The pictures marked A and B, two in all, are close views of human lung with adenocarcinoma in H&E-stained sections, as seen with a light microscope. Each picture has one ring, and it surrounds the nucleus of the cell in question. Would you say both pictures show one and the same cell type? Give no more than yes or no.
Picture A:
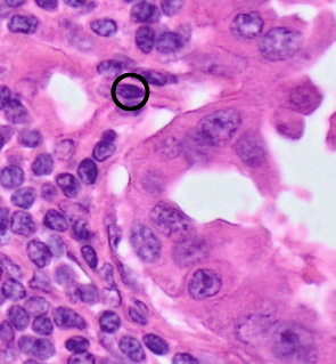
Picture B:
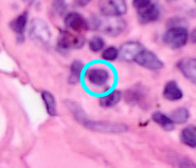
yes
